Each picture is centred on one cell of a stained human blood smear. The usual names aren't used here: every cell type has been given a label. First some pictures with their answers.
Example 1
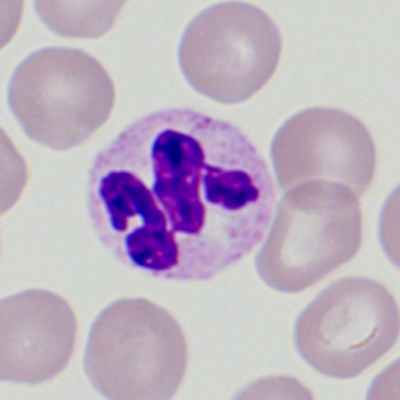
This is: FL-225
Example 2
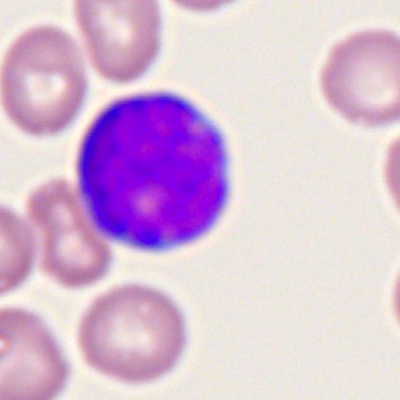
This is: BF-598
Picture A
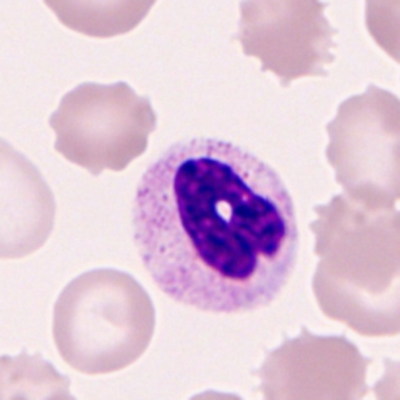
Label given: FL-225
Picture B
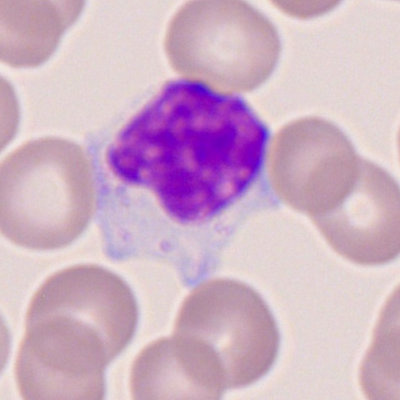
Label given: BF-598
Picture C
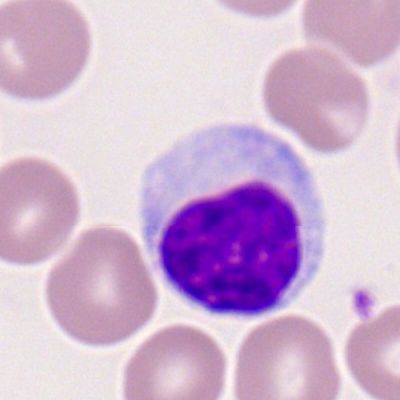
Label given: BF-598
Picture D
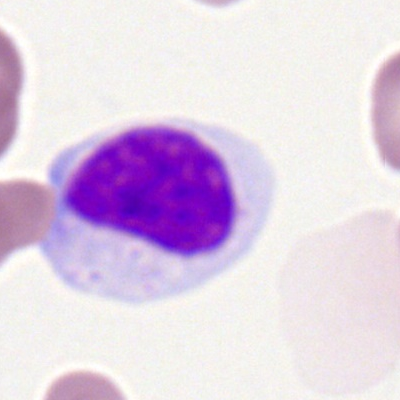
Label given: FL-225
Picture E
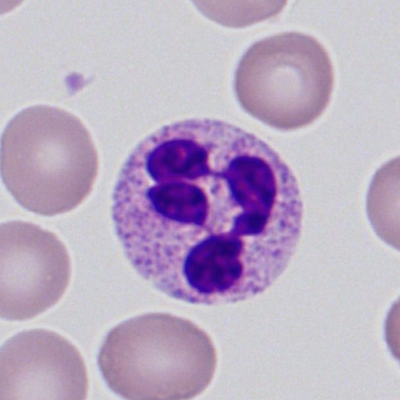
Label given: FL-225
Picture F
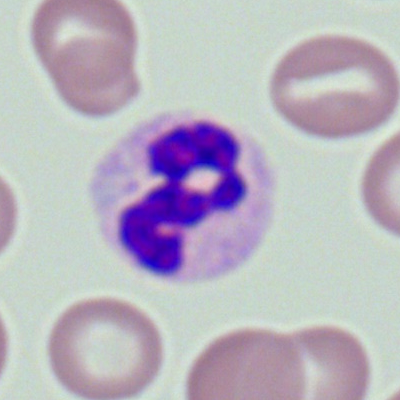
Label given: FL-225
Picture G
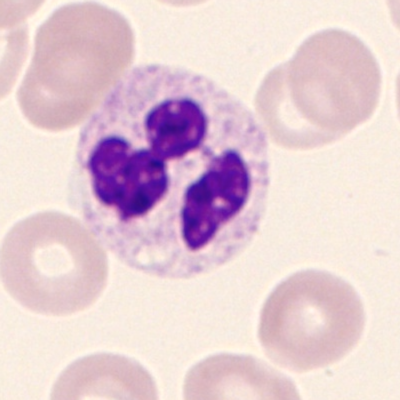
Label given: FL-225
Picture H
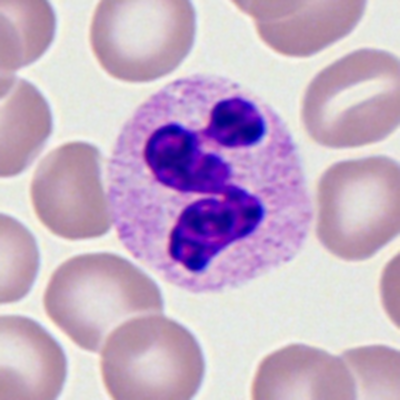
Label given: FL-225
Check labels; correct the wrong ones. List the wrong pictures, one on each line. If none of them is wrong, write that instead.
D is labelled FL-225; correct label: BF-598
